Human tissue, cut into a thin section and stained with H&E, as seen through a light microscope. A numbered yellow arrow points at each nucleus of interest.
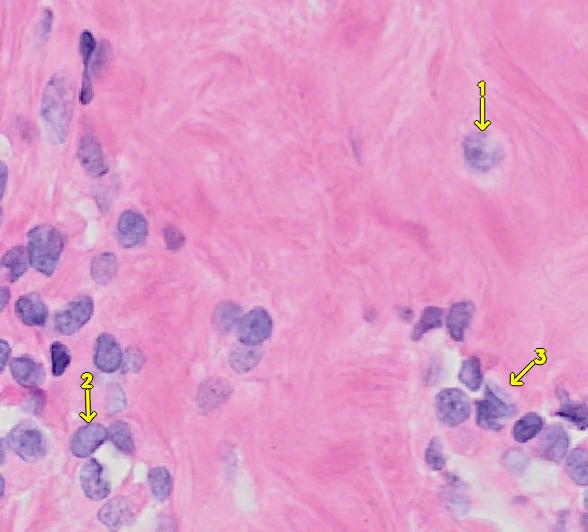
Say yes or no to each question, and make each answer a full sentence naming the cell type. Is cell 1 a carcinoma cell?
No, the right label for cell 1 is a fibroblast rather than a carcinoma cell.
